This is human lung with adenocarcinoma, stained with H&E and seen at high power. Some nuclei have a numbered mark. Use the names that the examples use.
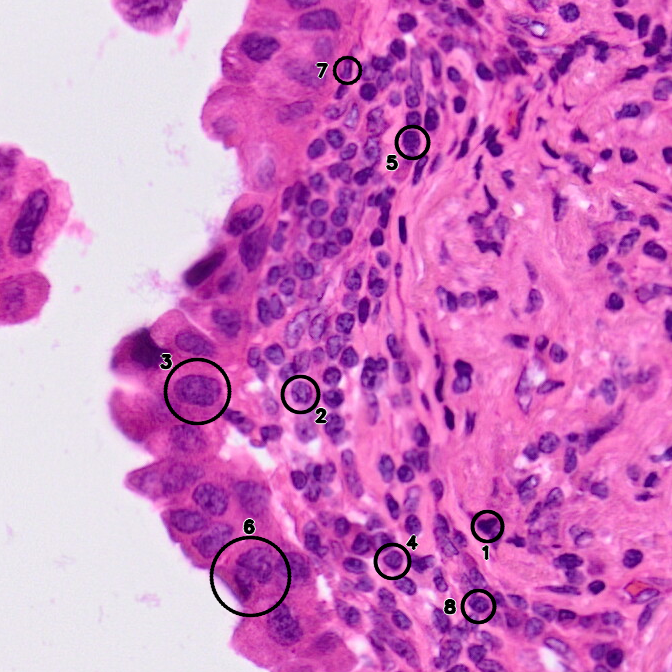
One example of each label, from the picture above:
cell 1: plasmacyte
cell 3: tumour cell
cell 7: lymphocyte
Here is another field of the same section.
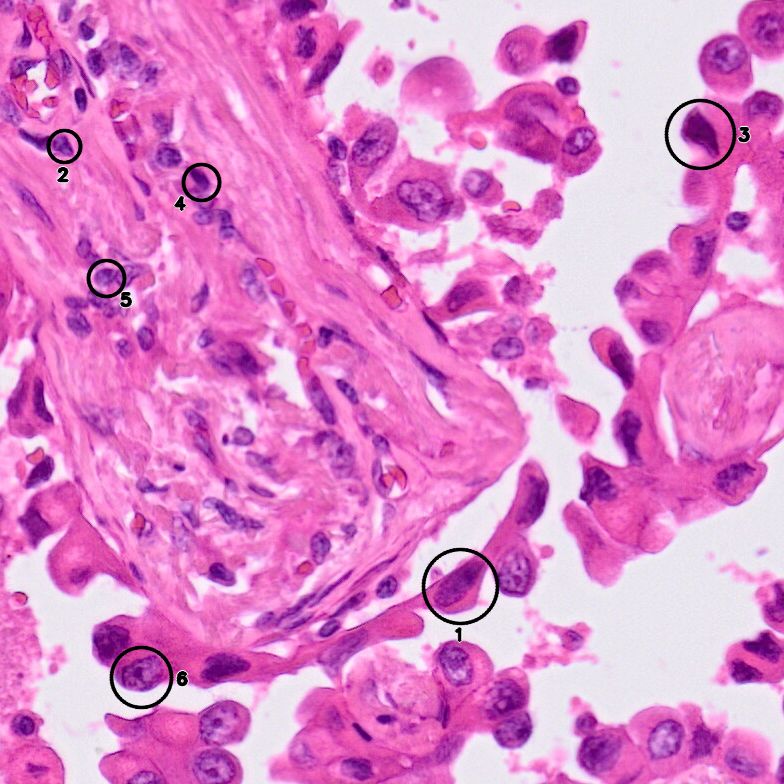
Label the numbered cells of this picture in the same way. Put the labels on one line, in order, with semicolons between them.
tumour cell; lymphocyte; tumour cell; plasmacyte; lymphocyte; tumour cell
